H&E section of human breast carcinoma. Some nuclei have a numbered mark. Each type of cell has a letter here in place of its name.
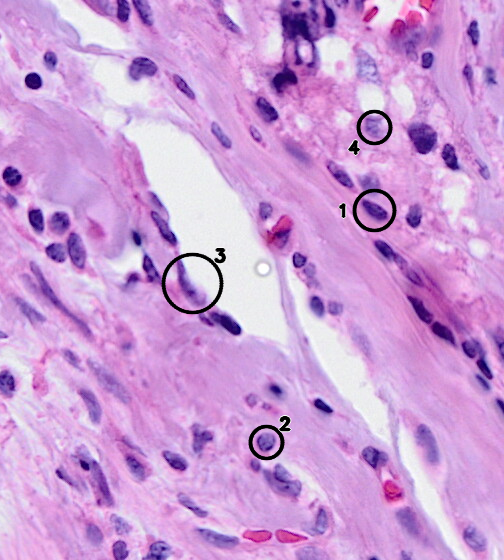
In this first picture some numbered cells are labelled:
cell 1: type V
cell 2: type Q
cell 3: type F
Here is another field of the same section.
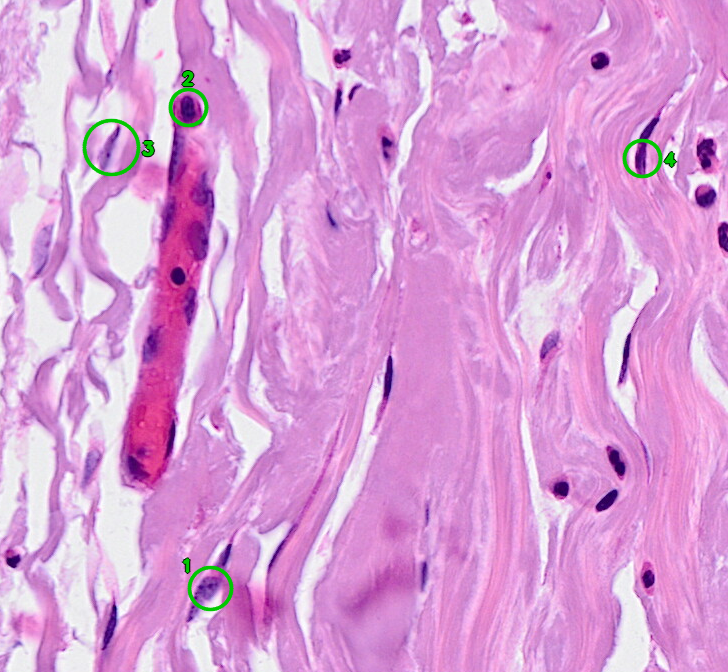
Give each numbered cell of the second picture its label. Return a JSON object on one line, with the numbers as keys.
{"1": "type F", "2": "type Q", "3": "type F", "4": "type F"}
